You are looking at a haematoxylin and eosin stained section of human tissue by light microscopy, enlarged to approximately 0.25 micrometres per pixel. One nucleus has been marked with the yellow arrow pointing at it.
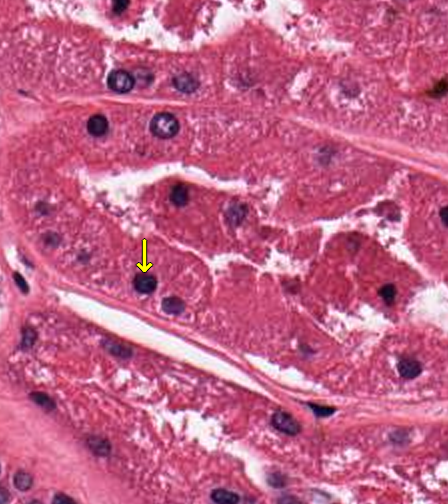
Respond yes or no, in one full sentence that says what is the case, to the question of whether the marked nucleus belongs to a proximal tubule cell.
Yes, the marked nucleus belongs to a proximal tubule cell in this field.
